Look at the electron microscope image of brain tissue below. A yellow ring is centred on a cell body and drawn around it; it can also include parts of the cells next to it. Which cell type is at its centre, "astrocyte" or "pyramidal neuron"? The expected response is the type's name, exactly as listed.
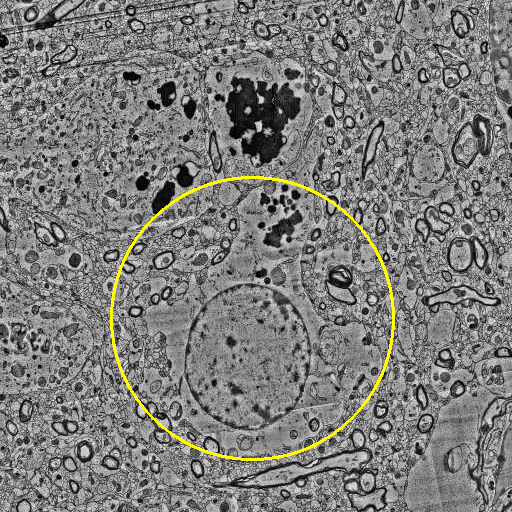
astrocyte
